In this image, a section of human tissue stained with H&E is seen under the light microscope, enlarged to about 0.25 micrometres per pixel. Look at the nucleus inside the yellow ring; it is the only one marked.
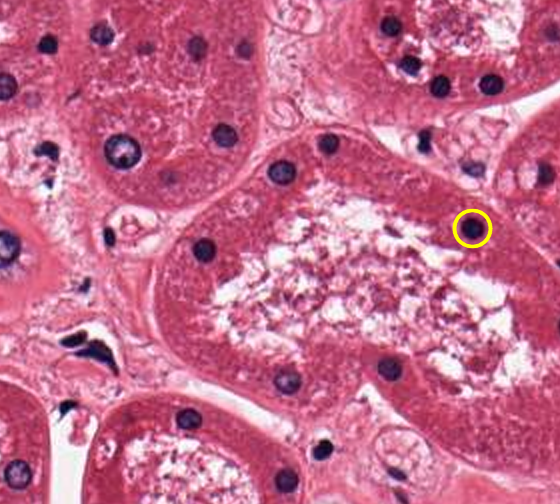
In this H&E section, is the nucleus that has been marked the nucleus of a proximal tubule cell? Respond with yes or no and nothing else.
yes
